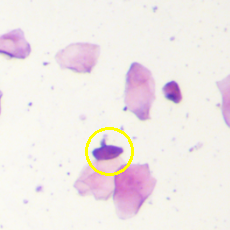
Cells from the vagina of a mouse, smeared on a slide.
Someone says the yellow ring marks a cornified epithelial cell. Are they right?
They are not: the ring marks a nucleated epithelial cell.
